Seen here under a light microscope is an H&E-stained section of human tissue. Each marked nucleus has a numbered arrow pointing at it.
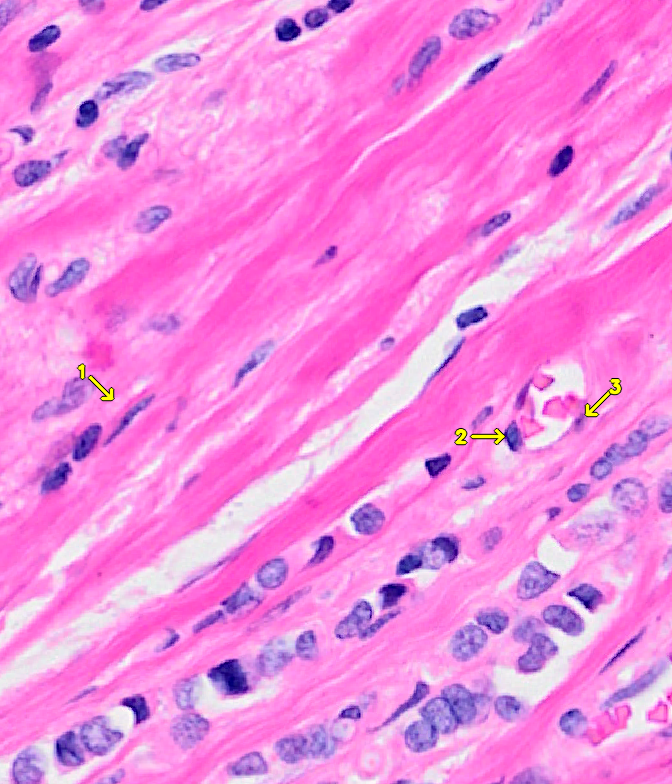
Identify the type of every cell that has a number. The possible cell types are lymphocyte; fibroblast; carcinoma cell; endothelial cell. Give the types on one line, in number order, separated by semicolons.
fibroblast; endothelial cell; endothelial cell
